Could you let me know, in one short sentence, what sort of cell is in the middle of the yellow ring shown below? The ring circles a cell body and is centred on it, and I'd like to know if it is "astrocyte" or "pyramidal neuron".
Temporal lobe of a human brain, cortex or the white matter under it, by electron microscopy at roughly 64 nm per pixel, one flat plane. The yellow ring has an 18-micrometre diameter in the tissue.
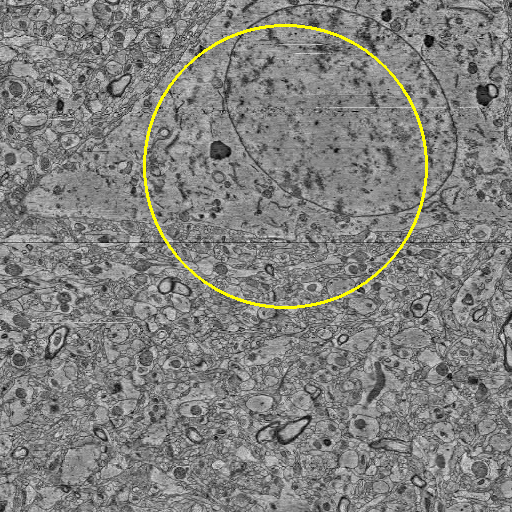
The ring circles the cell body of a pyramidal neuron.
